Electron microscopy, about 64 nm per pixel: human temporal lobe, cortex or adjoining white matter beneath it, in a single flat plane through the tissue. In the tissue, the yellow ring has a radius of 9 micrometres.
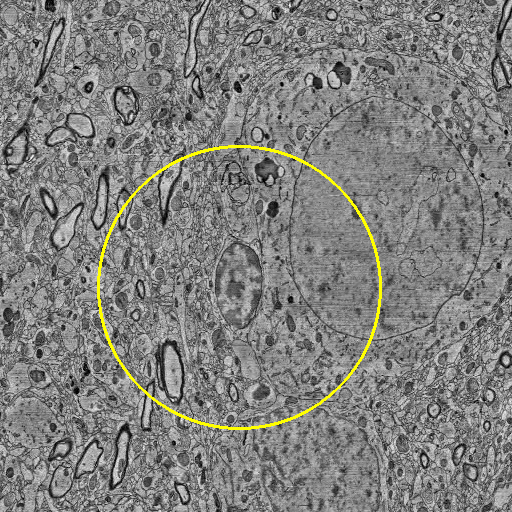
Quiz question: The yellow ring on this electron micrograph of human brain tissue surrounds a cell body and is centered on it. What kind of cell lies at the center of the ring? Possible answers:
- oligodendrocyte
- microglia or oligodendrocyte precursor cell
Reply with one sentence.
The ring's center lies on a microglial cell or oligodendrocyte precursor cell.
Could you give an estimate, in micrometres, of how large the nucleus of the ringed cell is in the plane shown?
The nucleus appears roughly 6 by 3 micrometres in this plane.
